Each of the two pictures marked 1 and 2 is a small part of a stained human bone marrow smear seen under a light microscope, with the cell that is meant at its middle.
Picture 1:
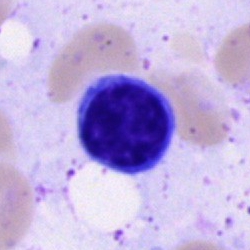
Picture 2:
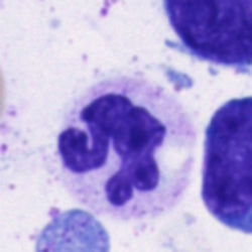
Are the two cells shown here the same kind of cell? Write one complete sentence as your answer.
No. Picture 1 shows a lymphocyte, but picture 2 shows a segmented neutrophil.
